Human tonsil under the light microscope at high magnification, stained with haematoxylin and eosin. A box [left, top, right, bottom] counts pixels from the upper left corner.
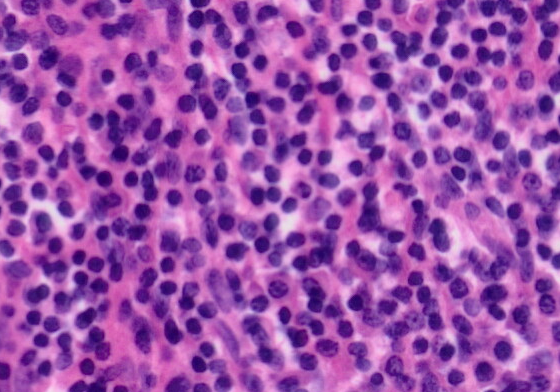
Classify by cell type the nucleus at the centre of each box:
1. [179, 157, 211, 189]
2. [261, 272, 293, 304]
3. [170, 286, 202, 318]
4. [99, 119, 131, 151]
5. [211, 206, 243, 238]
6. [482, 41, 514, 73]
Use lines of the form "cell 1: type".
cell 1: plasma cell
cell 2: plasma cell
cell 3: small lymphocyte
cell 4: plasma cell
cell 5: plasma cell
cell 6: small lymphocyte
